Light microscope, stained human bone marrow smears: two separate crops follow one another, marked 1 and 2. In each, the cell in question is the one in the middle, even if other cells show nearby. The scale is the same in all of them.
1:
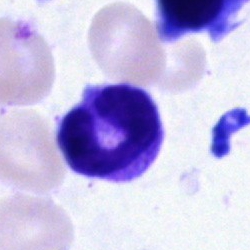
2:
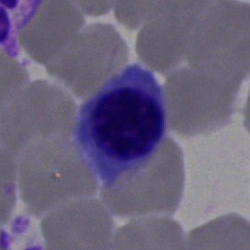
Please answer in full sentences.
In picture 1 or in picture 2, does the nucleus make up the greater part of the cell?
In picture 1 the nucleus takes up the larger part of its cell.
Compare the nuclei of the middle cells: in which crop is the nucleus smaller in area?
Smaller is the nucleus in picture 2, and the other is about 1.5 times as large in area.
